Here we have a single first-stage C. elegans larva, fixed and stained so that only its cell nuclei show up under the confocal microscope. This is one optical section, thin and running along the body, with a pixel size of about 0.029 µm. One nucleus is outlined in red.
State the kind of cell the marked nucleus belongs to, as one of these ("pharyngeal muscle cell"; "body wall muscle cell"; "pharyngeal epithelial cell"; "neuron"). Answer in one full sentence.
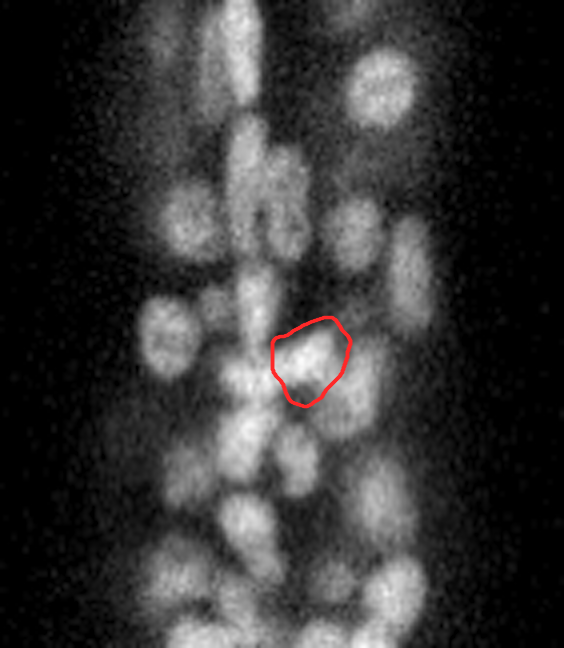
This is the nucleus of a pharyngeal muscle cell.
